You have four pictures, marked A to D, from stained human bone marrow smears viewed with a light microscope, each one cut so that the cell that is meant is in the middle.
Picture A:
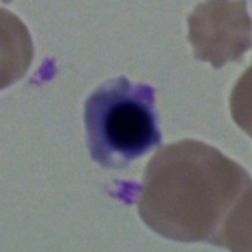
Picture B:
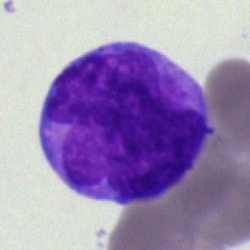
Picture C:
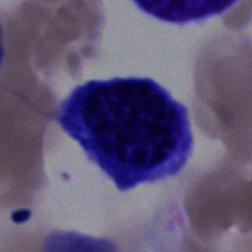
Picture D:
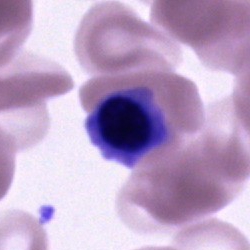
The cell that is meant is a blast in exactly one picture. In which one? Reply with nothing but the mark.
B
